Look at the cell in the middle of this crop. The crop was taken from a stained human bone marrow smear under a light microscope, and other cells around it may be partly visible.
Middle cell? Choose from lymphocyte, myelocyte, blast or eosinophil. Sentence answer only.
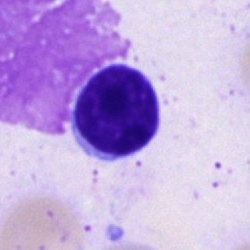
The cell of interest, in the center, is a lymphocyte.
